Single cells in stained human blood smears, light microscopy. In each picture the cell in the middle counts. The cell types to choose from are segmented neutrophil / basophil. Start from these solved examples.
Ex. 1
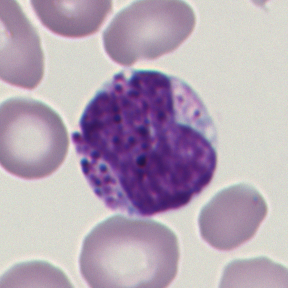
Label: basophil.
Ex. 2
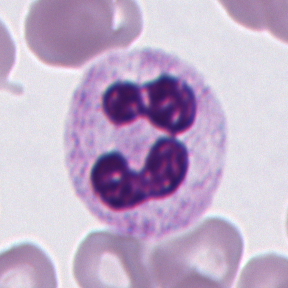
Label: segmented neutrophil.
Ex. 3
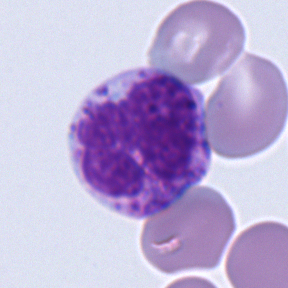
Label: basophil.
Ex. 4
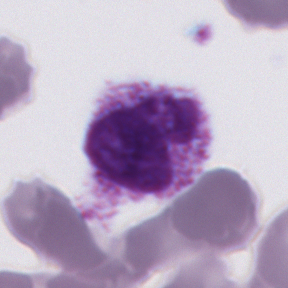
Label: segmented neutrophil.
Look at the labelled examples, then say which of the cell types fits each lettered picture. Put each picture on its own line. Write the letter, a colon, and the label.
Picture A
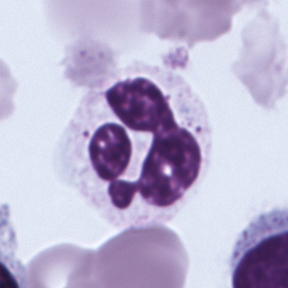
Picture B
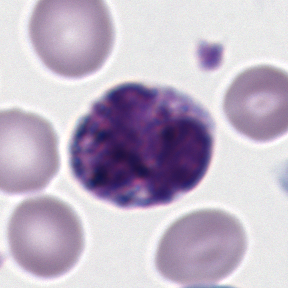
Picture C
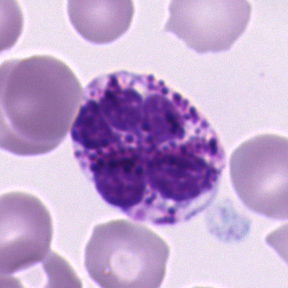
A: segmented neutrophil.
B: basophil.
C: basophil.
